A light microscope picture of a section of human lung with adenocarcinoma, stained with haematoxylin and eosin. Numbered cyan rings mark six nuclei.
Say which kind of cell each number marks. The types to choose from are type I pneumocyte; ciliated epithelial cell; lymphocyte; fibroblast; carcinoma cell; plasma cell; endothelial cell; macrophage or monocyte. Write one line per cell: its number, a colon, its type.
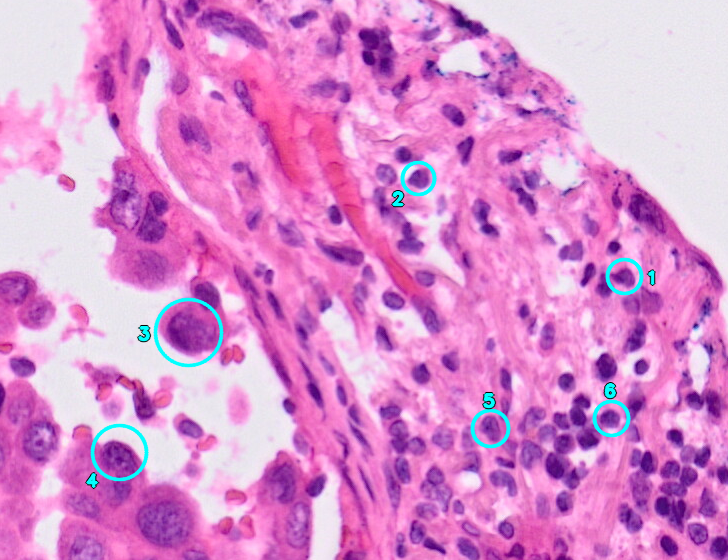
1: lymphocyte
2: lymphocyte
3: carcinoma cell
4: carcinoma cell
5: lymphocyte
6: lymphocyte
